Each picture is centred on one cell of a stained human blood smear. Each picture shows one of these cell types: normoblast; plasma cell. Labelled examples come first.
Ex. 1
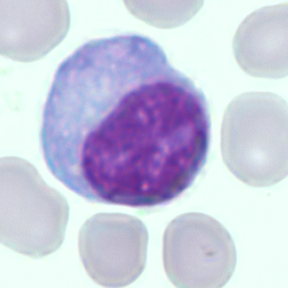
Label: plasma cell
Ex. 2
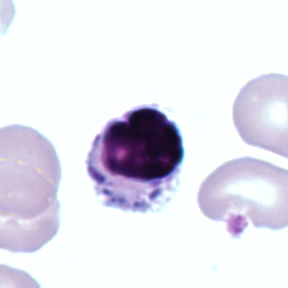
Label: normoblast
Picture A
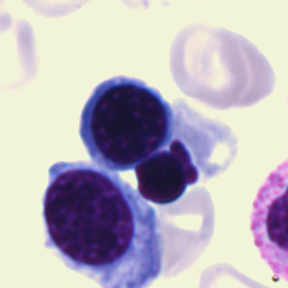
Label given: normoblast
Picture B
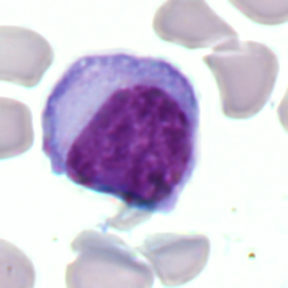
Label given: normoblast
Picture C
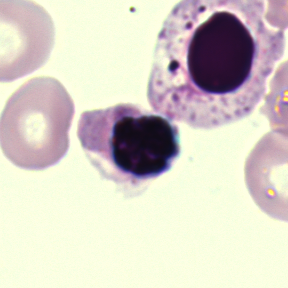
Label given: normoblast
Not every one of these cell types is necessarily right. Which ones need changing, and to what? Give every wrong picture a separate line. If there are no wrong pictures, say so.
B should be plasma cell, not normoblast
